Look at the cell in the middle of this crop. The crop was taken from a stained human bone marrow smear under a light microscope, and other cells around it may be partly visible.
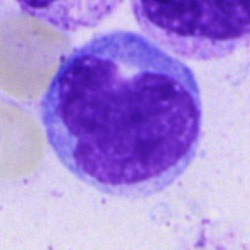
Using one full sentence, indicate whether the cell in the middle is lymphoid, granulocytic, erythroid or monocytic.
The middle cell of the crop belongs with the cells of the monocytic lineage.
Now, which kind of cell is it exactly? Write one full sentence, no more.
The cell at the heart of this crop is a monocyte.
